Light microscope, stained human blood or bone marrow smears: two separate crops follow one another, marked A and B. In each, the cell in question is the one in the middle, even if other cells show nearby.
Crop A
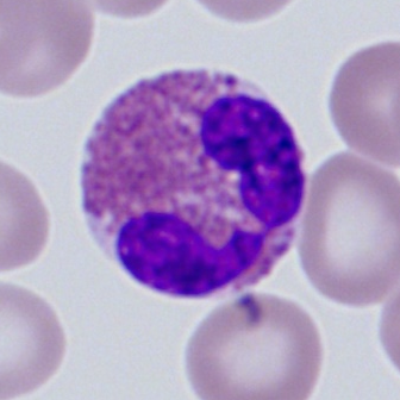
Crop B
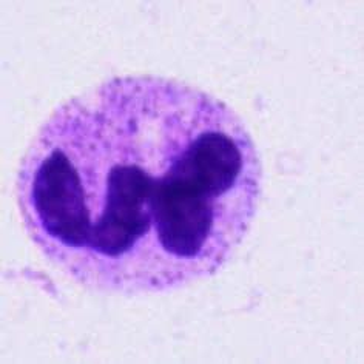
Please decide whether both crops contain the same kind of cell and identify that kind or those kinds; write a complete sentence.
No, the cells are an eosinophil in crop A and a neutrophil in crop B.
